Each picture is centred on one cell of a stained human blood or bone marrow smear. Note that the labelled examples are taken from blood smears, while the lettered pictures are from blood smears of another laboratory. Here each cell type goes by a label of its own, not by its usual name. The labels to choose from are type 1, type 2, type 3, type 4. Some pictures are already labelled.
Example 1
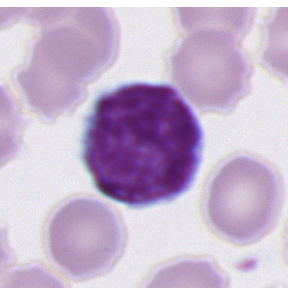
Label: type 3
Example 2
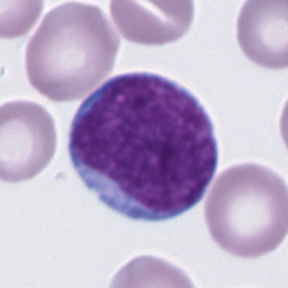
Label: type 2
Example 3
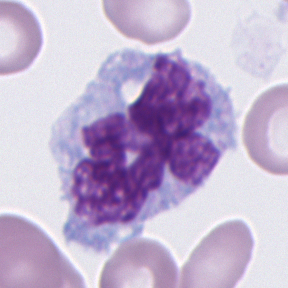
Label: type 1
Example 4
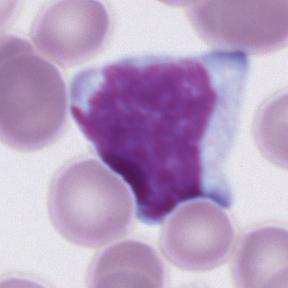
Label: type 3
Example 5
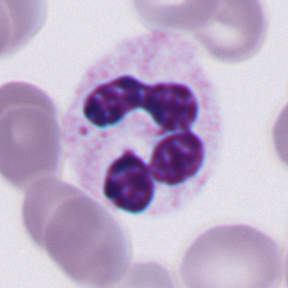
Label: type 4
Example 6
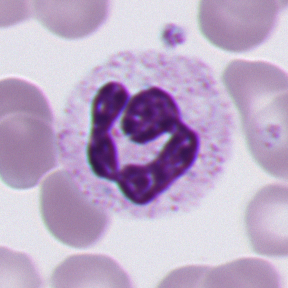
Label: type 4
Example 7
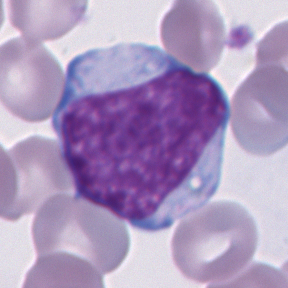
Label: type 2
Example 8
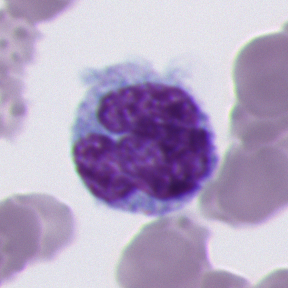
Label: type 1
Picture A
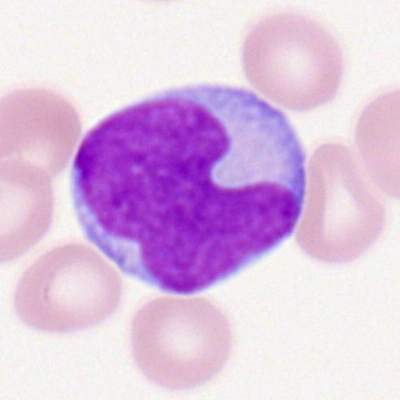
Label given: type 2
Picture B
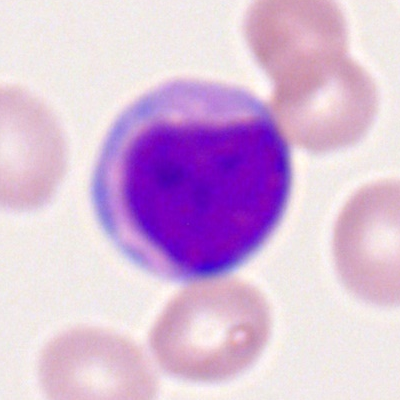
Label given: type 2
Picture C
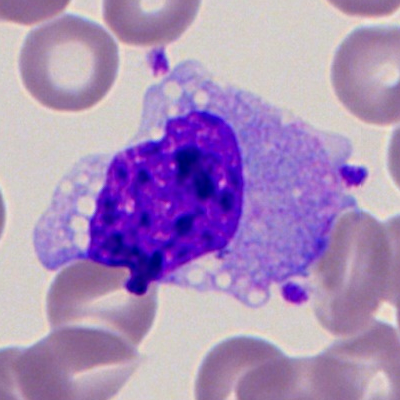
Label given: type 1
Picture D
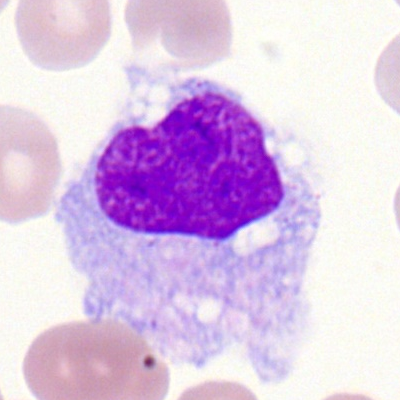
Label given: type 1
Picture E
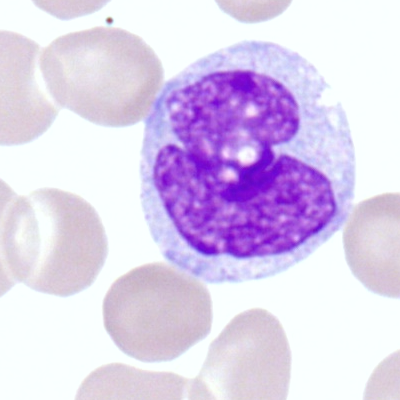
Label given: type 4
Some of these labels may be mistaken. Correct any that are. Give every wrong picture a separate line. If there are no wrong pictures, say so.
E: not type 4 but type 1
